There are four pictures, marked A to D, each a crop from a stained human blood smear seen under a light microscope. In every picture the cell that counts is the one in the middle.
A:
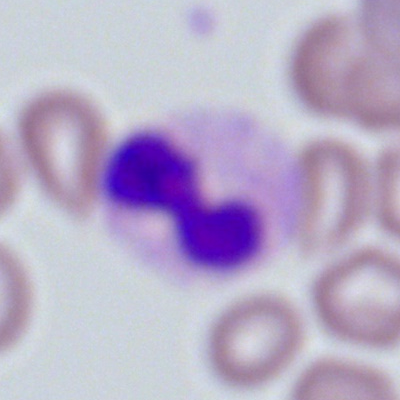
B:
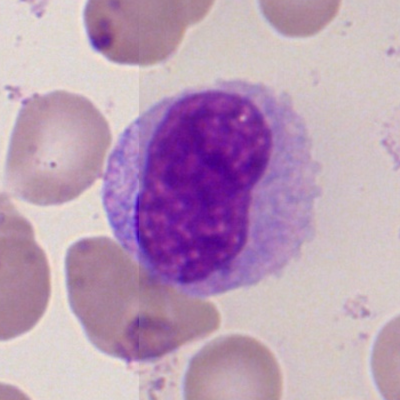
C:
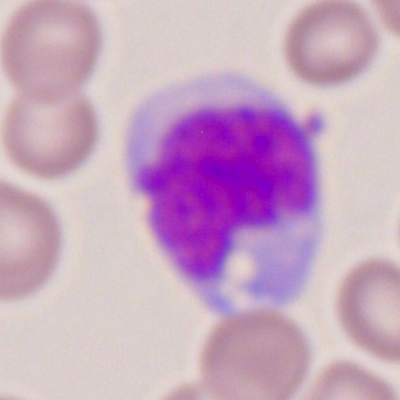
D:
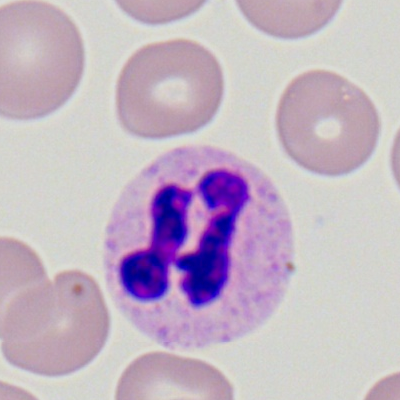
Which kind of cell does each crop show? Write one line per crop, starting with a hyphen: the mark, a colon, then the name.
- A: segmented neutrophil
- B: monocyte
- C: monocyte
- D: segmented neutrophil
